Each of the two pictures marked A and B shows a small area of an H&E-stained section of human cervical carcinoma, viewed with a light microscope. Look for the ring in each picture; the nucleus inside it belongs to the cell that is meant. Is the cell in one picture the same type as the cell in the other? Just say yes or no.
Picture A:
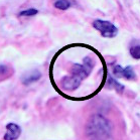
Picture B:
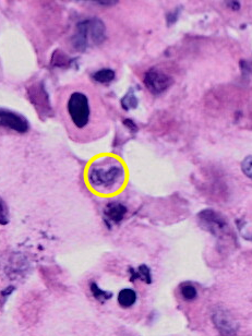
yes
